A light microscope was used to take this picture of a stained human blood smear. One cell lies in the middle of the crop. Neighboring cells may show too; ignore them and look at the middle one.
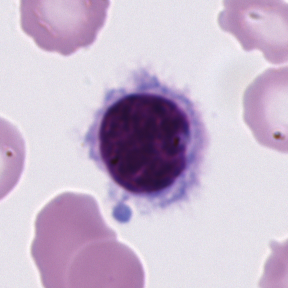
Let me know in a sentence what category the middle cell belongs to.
In short, the cell at the center is a hairy cell.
